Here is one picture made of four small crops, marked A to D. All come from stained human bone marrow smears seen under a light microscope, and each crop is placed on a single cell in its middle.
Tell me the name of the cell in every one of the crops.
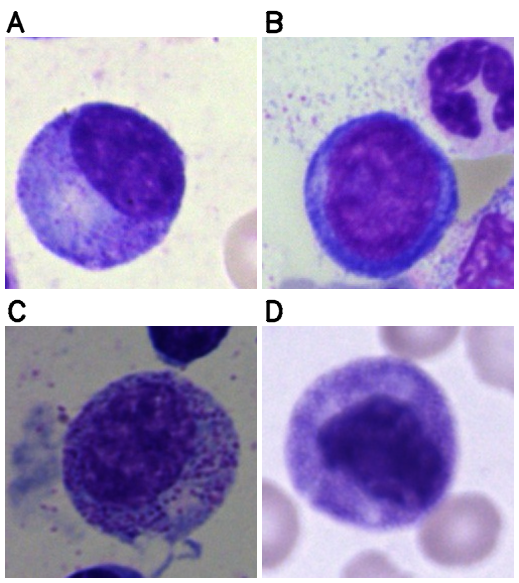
A: promyelocyte
B: proerythroblast
C: myelocyte
D: myelocyte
